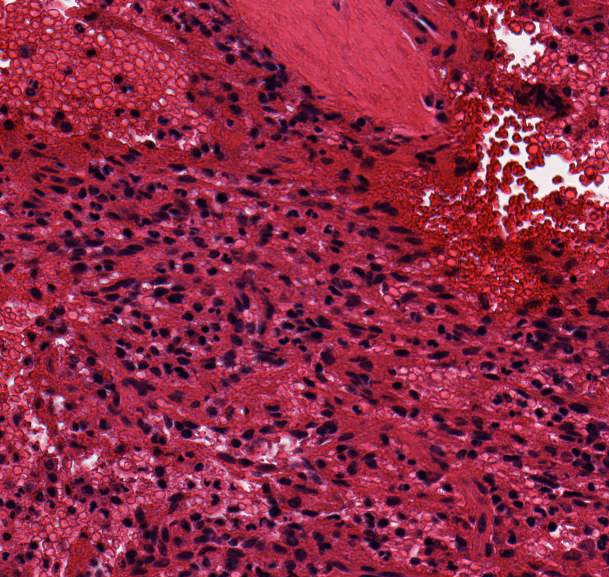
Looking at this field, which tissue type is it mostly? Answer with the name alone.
red pulp of the spleen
